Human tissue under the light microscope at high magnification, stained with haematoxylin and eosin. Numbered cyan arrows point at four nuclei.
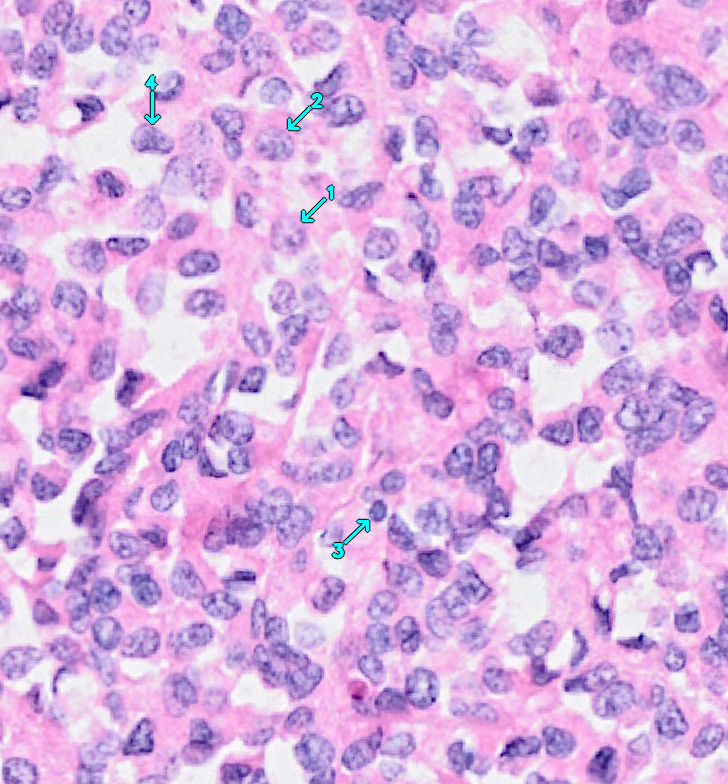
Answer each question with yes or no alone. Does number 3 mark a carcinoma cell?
no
